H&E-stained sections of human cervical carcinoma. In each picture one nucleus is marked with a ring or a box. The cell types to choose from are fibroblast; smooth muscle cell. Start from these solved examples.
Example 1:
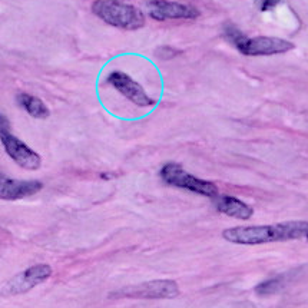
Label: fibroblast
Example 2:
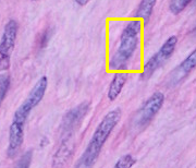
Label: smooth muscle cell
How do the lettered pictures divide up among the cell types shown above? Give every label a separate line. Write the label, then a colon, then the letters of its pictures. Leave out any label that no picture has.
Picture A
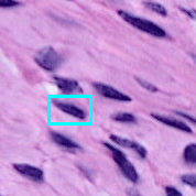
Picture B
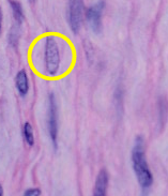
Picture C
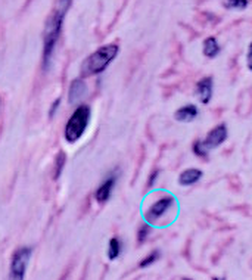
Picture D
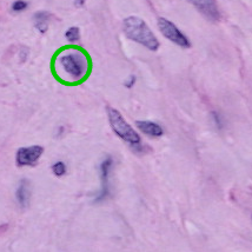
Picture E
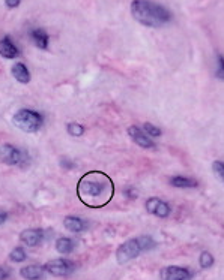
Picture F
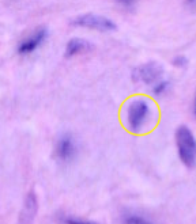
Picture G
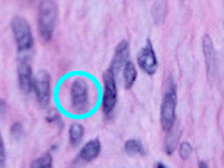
fibroblast: A, D, F
smooth muscle cell: B, C, E, G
